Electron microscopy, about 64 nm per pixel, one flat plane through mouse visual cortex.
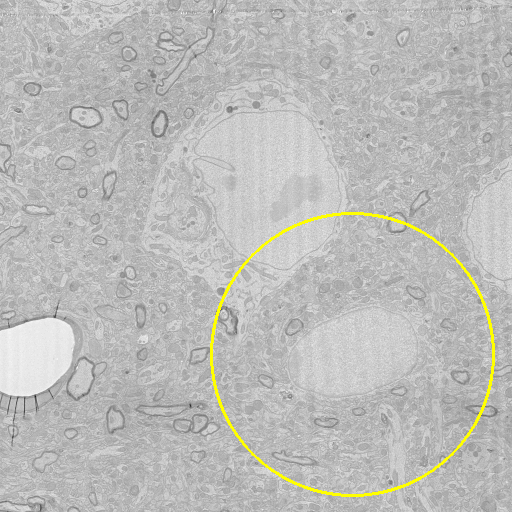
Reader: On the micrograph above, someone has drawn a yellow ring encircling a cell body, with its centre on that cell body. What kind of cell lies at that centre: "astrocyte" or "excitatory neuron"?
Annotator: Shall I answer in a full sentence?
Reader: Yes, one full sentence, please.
Here an astrocyte sits at the centre of the yellow ring drawn on the micrograph.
